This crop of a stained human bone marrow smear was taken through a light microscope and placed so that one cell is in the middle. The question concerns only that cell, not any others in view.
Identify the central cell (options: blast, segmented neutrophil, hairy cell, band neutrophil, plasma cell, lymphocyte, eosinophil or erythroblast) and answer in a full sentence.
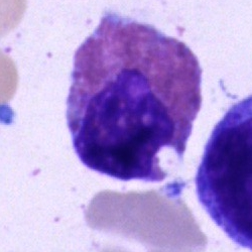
To answer, the cell in the center of the crop is an eosinophil.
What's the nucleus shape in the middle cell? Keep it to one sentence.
One compact mass makes up the whole nucleus, round, oval or kidney-shaped.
